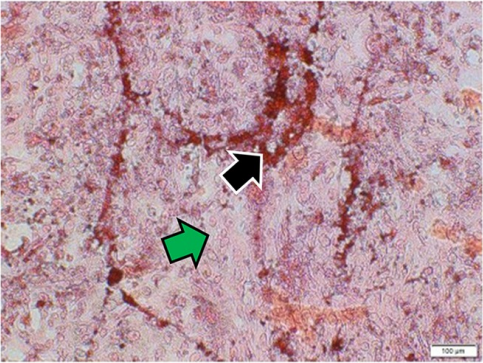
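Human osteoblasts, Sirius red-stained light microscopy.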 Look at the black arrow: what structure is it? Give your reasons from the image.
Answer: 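The black arrow points at a thick, continuous, dark red strand. The strand forms a curved band that stands out sharply from the paler background.
Hence: mature and well-organized collagen deposition.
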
